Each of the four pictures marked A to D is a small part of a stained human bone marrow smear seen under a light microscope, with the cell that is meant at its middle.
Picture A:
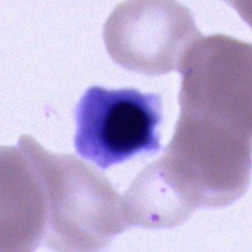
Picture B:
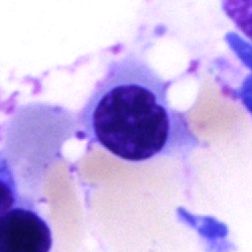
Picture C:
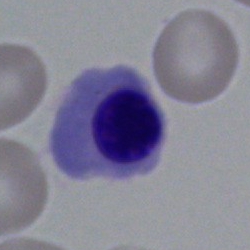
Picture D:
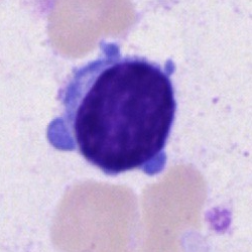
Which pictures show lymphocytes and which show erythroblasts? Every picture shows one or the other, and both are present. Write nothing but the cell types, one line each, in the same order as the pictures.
erythroblast
erythroblast
erythroblast
lymphocyte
